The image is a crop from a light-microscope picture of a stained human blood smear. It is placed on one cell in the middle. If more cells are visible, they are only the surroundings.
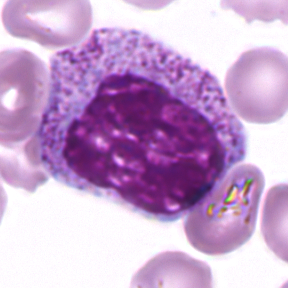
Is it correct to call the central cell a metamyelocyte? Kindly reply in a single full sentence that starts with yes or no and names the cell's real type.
No, the central cell does not represent a metamyelocyte, but a myelocyte.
